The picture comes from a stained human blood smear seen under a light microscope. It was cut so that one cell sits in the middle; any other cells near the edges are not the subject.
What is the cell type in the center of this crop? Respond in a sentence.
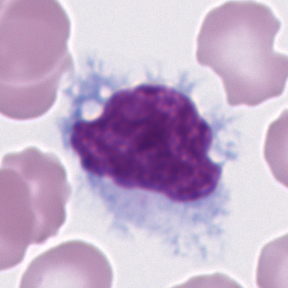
The middle of this crop holds a hairy cell.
